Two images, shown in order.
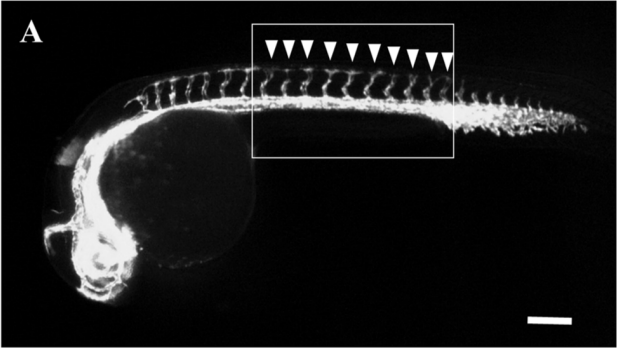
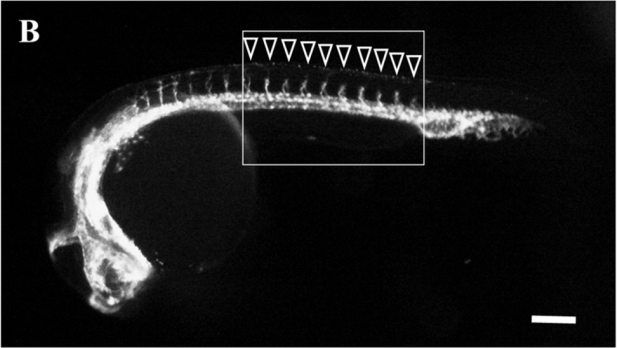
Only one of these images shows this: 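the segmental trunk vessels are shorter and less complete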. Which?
the second image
